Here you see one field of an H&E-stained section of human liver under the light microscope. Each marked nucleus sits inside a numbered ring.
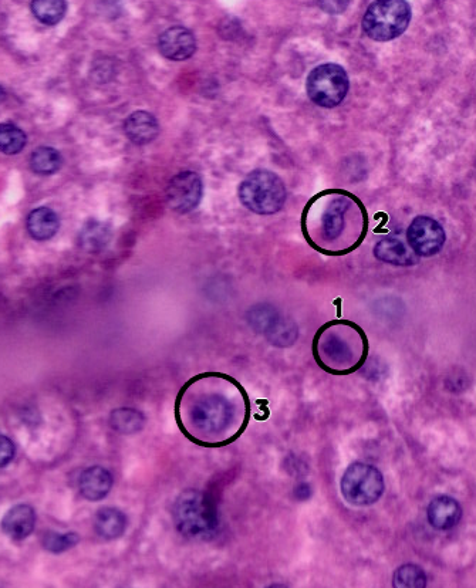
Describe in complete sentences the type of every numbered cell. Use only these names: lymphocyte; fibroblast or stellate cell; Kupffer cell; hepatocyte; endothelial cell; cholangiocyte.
Cell 1 is a fibroblast or stellate cell, cell 2 is a Kupffer cell and cell 3 is a hepatocyte.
